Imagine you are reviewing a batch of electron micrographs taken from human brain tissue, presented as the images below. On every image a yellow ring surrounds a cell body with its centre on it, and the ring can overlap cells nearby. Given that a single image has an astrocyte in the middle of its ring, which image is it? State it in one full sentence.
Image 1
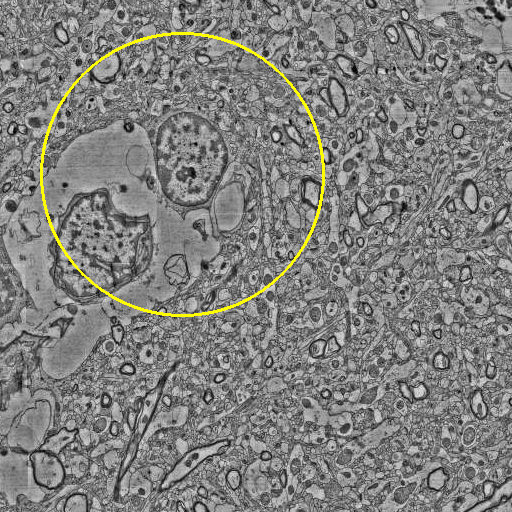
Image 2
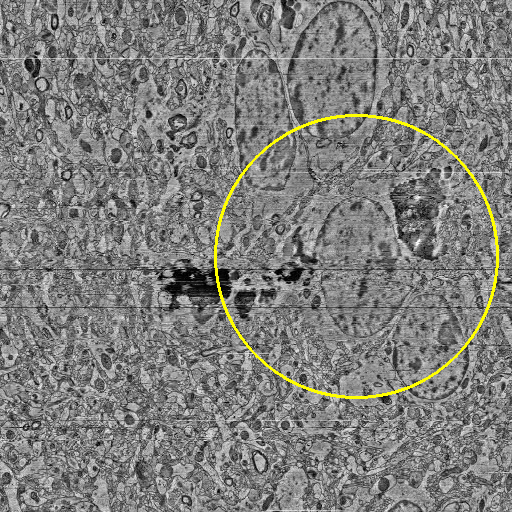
Of all the images, number 2 has the described cell at the centre of its ring.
